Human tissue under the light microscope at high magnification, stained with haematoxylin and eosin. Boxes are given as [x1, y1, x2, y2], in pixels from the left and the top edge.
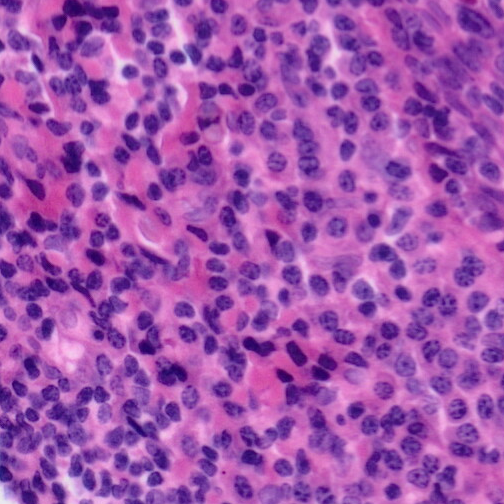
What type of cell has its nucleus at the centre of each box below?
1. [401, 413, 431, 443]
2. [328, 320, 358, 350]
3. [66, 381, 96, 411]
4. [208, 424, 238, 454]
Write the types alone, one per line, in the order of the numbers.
plasma cell
plasma cell
small lymphocyte
plasma cell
